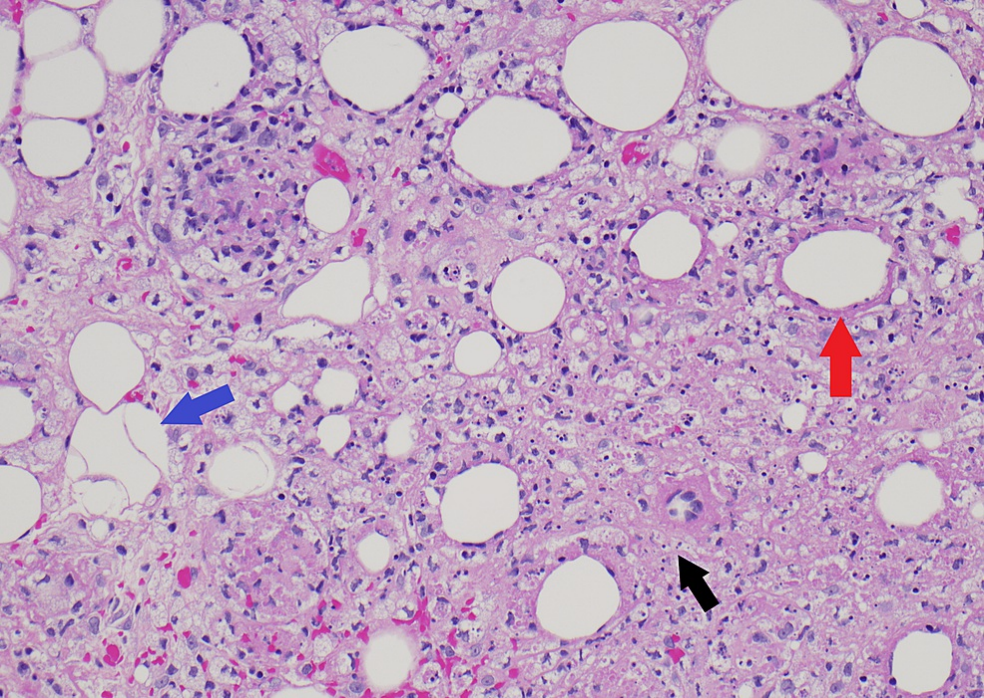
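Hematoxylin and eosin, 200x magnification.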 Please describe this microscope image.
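Fatty tissue is seen in which clear, round fat spaces of very different sizes lie in a pale pink, loose background. Some spaces are rimmed by glassy pink bands, and others are collapsed and irregular. Between them lies a dense infiltrate with many small, dark, lobed or fragmented nuclei.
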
